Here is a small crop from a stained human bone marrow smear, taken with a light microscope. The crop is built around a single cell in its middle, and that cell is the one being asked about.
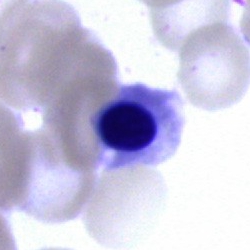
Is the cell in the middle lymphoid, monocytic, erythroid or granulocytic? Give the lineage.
erythroid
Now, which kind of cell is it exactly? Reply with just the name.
erythroblast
